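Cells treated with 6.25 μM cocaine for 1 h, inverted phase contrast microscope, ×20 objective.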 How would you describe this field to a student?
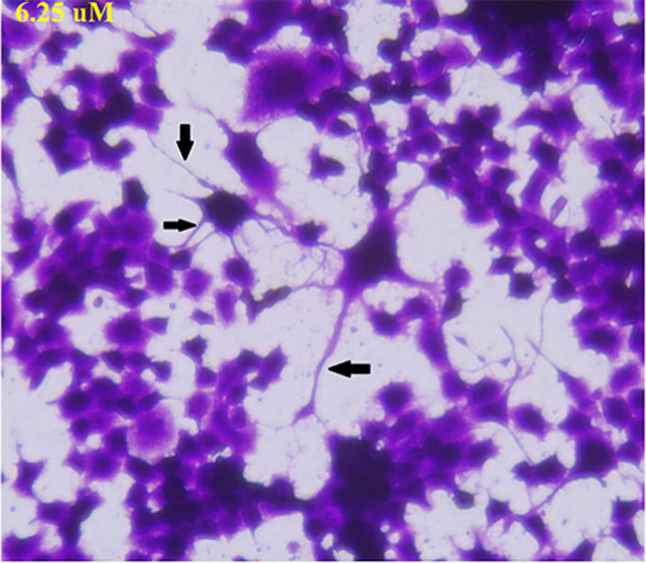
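Cultured neuronal cells stained purple lie in dense clusters of rounded to polygonal cell bodies, separated by clear, unstained spaces. Several cells send out long, thin, branching processes that cross these spaces and reach toward neighbouring cells, forming connections between them.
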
